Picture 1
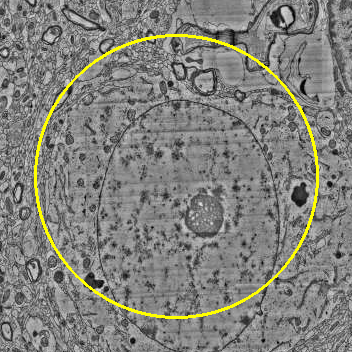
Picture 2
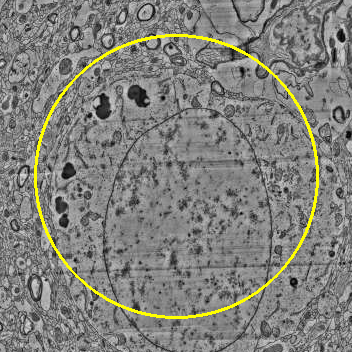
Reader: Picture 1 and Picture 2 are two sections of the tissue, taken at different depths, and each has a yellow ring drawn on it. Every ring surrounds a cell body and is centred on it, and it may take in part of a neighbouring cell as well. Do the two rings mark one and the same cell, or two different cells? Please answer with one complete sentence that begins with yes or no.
Yes, both rings are placed on a single cell.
